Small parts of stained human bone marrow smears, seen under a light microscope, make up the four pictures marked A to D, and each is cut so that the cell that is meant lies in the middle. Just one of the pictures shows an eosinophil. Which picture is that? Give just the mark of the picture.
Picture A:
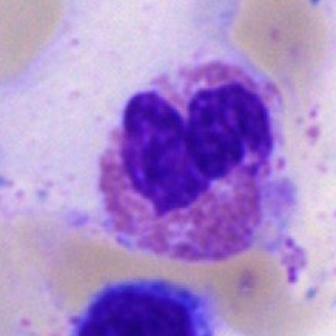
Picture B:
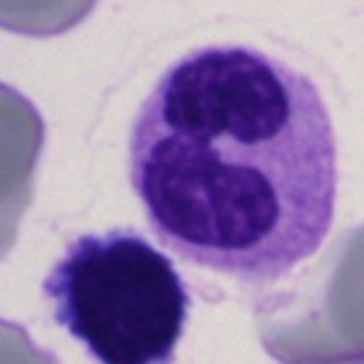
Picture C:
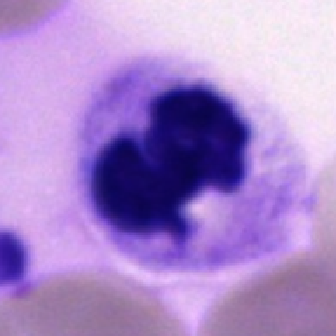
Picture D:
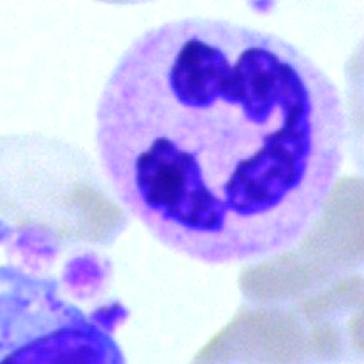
A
